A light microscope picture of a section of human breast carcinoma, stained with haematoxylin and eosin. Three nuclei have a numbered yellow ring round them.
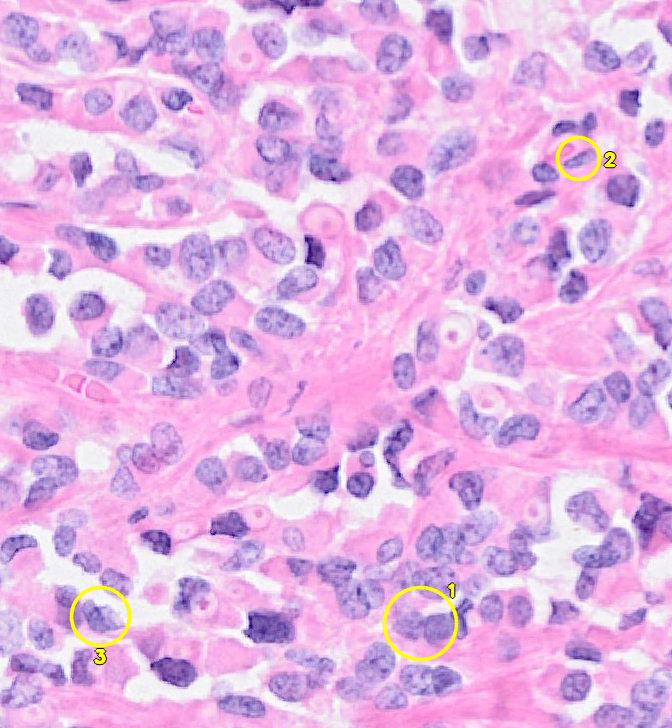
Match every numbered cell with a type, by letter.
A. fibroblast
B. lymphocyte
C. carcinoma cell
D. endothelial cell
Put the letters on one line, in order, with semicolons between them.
C; D; C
